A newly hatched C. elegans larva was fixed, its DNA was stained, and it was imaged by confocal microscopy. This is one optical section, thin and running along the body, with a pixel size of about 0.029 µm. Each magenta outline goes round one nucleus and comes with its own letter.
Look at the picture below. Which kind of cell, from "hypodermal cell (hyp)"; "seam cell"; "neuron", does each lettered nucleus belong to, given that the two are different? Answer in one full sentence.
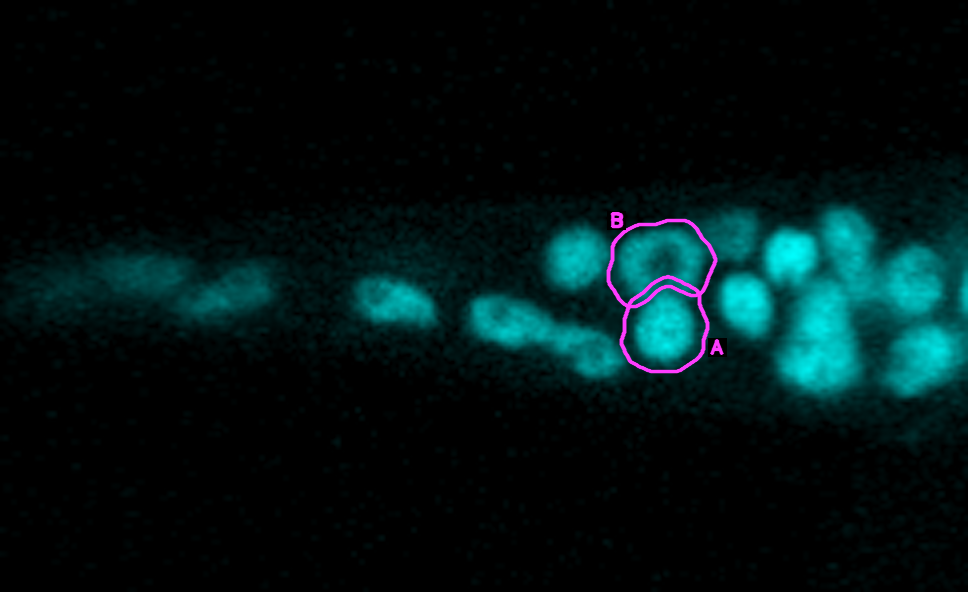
A is in a neuron and B is in a seam cell.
